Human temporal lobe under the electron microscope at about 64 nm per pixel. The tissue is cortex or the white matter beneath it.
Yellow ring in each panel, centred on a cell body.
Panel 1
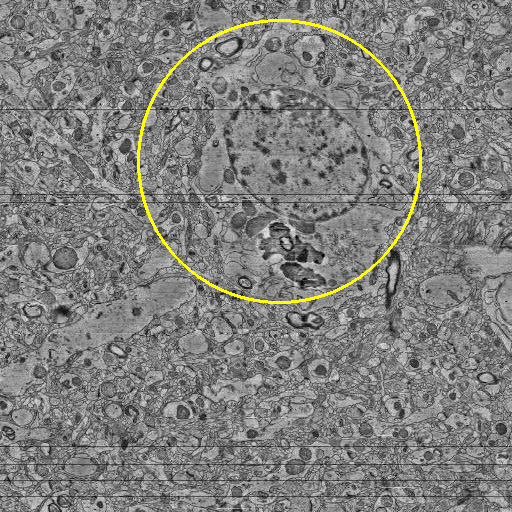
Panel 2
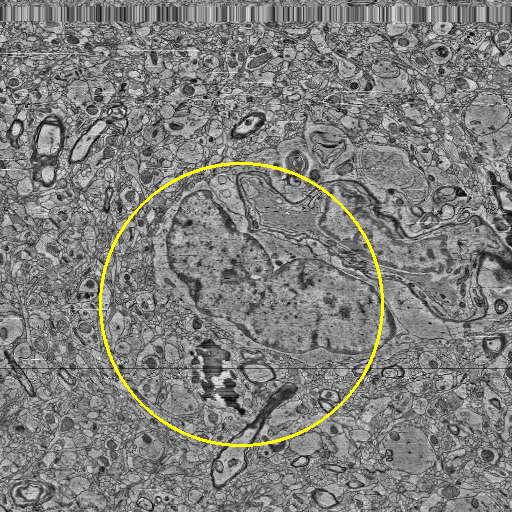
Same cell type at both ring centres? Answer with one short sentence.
No, the two cells are of two types.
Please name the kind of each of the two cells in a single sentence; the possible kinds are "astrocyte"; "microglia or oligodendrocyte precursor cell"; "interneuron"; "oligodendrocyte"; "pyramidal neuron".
In the first picture the ring is centred on an astrocyte, and in the second on a microglial cell or oligodendrocyte precursor cell.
